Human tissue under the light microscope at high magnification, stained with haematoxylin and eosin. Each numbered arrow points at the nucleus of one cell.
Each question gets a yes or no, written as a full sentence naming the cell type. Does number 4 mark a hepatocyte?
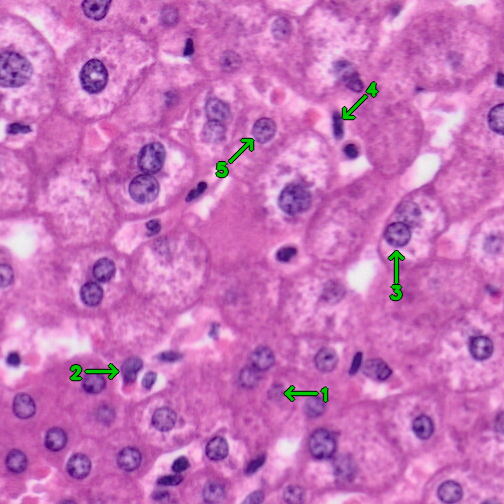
No, the cell carrying number 4 is a lymphocyte, not a hepatocyte.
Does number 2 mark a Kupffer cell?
Yes, the cell at marker 2 is a Kupffer cell.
